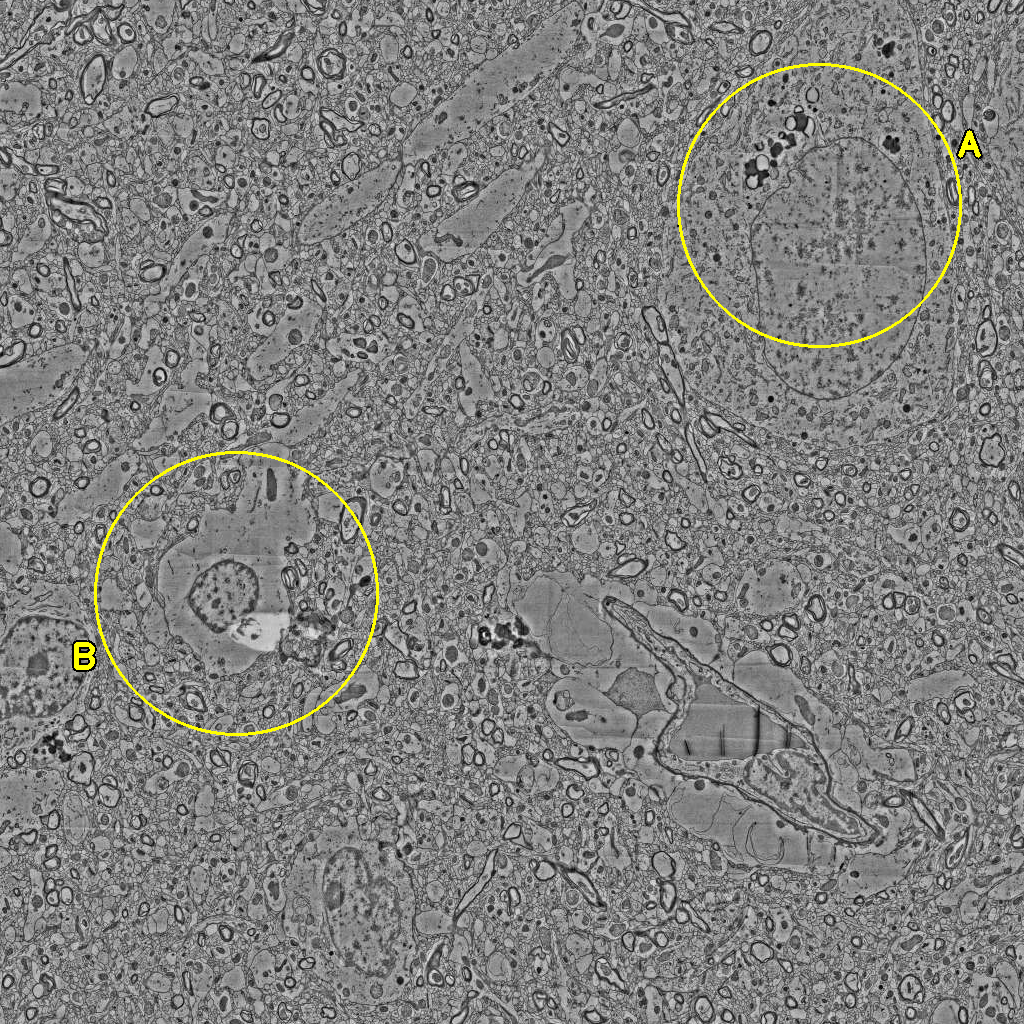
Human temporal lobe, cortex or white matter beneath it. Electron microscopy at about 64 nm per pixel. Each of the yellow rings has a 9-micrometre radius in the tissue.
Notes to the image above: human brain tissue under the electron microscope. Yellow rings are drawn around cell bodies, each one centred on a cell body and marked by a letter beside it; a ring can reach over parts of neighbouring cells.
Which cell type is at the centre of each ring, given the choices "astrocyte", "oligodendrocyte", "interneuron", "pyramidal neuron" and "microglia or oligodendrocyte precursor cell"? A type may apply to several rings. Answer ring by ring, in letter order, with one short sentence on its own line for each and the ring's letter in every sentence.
Inside ring A, at its centre, is a pyramidal neuron.
Inside ring B, at its centre, is an astrocyte.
